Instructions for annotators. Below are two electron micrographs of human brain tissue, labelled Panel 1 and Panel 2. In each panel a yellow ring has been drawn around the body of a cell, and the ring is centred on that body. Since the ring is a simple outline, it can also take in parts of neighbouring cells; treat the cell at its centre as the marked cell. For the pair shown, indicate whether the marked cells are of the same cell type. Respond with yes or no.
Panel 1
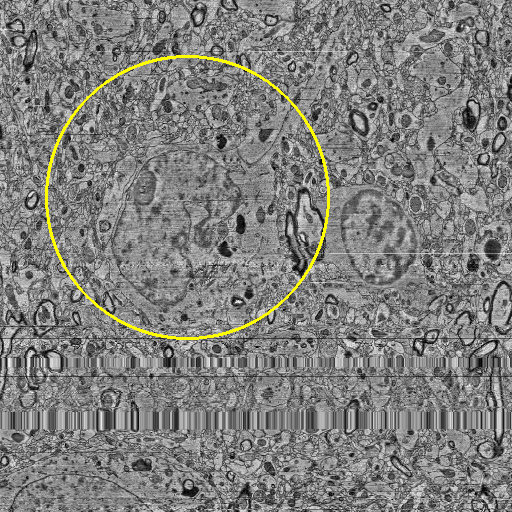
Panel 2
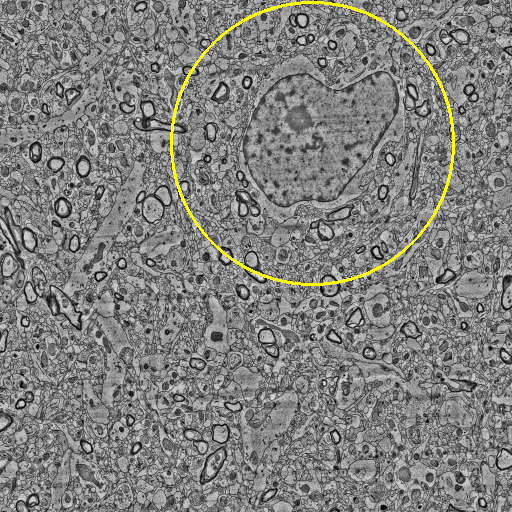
no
